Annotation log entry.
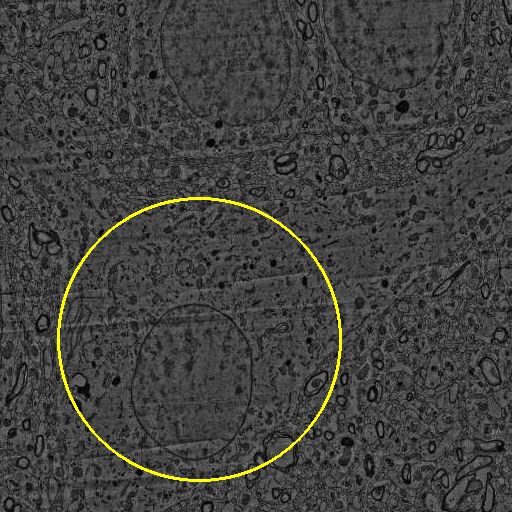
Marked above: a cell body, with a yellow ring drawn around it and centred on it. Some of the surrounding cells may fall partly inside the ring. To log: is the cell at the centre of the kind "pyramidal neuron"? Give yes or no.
Yes, the cell at the centre is of that kind.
